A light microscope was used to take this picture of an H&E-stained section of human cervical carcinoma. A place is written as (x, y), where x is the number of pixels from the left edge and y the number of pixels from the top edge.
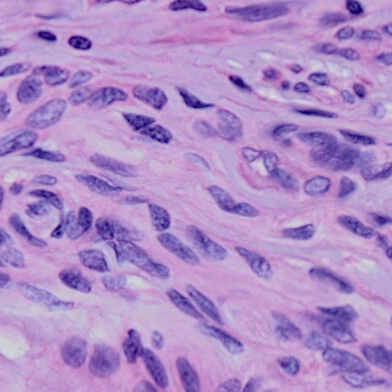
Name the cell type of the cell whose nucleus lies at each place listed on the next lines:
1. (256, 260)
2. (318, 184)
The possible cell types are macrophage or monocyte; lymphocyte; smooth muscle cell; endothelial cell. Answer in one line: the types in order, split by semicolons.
smooth muscle cell; endothelial cell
